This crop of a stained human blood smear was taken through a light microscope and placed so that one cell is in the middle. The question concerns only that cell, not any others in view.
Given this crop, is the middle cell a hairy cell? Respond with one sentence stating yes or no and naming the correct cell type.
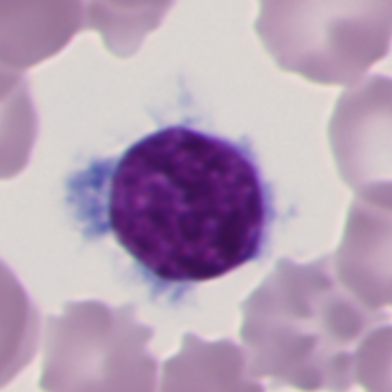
Yes, this central cell is a hairy cell.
